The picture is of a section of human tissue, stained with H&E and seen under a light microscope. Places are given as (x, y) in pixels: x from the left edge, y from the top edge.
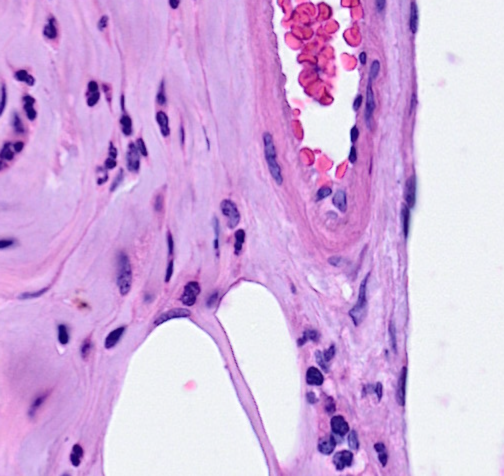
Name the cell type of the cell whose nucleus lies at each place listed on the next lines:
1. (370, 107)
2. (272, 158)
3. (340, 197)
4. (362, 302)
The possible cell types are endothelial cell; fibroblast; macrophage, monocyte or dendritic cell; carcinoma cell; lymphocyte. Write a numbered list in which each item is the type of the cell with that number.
1. endothelial cell
2. endothelial cell
3. endothelial cell
4. fibroblast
